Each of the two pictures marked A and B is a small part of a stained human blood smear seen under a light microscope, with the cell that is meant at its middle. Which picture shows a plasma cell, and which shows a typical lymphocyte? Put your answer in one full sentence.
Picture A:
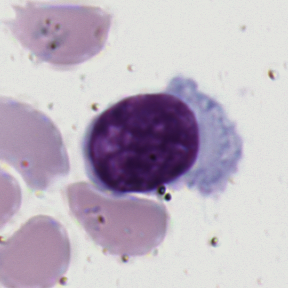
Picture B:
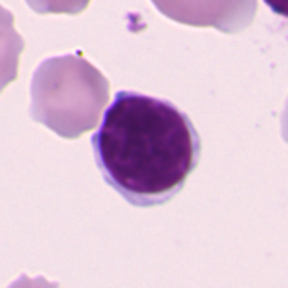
Picture A shows a plasma cell and picture B shows a typical lymphocyte.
